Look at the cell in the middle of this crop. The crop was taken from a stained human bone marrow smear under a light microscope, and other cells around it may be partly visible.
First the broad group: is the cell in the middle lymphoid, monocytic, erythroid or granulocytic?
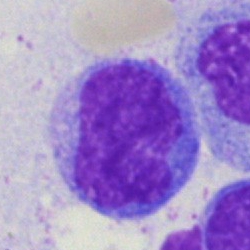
monocytic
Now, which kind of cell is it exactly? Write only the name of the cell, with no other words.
monocyte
